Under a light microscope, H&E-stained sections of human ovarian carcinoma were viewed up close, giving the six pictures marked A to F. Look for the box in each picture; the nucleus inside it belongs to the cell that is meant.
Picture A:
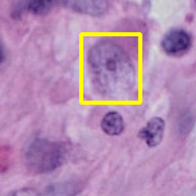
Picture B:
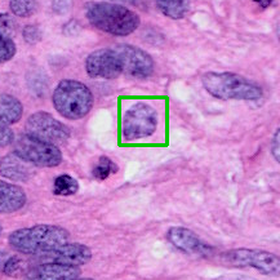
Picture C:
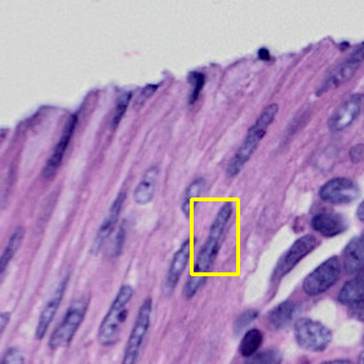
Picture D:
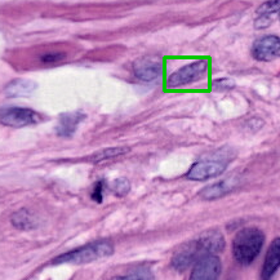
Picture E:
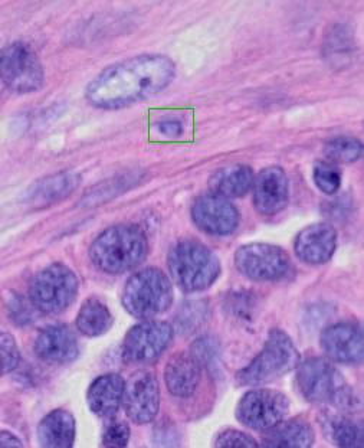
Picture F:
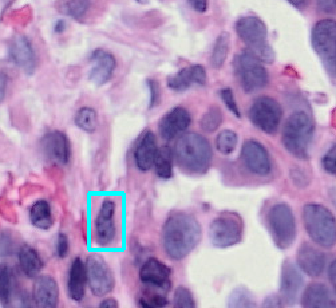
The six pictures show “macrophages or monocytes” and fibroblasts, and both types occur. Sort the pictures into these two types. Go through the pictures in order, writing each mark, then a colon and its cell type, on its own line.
A: fibroblast
B: macrophage or monocyte
C: fibroblast
D: fibroblast
E: macrophage or monocyte
F: macrophage or monocyte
